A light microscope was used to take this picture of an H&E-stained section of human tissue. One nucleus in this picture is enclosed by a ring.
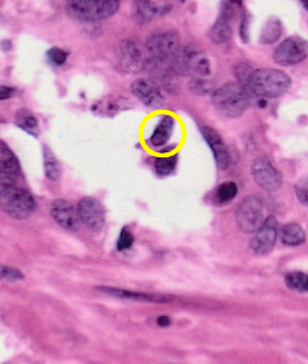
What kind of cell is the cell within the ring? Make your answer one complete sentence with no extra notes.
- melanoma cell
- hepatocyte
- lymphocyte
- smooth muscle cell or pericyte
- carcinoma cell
The category to which the cell within the ring belongs is that of a carcinoma cell.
